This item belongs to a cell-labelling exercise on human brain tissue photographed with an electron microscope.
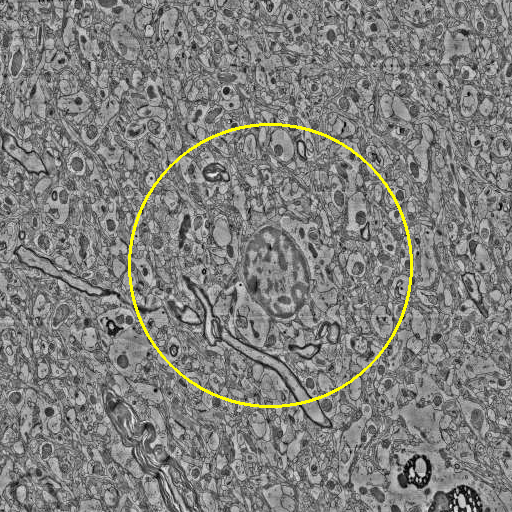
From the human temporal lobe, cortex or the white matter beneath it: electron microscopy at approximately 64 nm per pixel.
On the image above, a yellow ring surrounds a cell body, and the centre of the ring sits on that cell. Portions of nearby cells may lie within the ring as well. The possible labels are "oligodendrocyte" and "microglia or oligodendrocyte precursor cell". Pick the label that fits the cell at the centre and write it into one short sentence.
This cell should be labelled as an oligodendrocyte.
